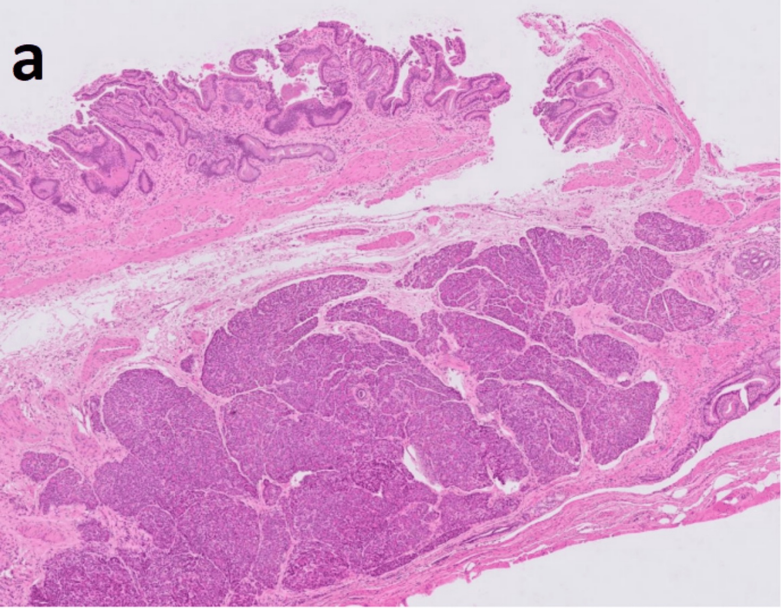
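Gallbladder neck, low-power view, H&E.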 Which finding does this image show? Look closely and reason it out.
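Pancreatic heterotopia. Folded mucosa lined by columnar epithelium along the top. Beneath the mucosa and pink muscle, a large mass of lobulated, densely purple glandular tissue lies within the wall.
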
